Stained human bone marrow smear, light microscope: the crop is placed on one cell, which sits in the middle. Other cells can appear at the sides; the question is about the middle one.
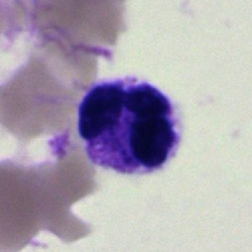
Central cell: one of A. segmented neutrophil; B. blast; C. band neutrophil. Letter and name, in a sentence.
Seen at the centre of the crop is a segmented neutrophil, so option A is correct.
